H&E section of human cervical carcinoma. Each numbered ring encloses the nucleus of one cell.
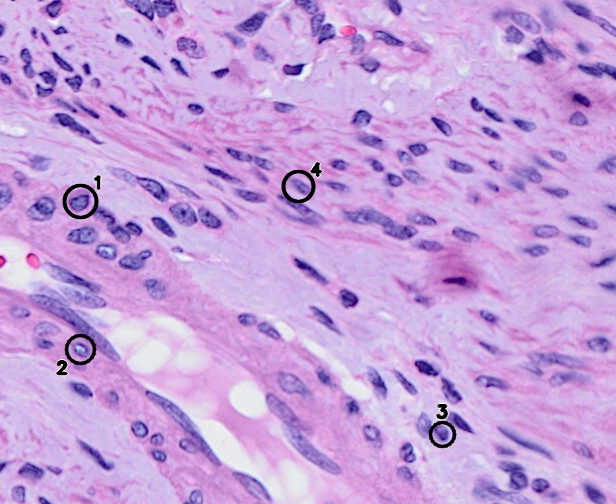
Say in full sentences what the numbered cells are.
Cells 1, 2 and 4 are smooth muscle cells. Cell 3 is a fibroblast.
